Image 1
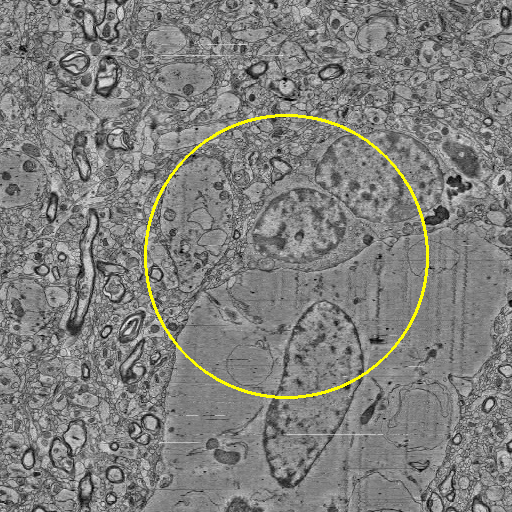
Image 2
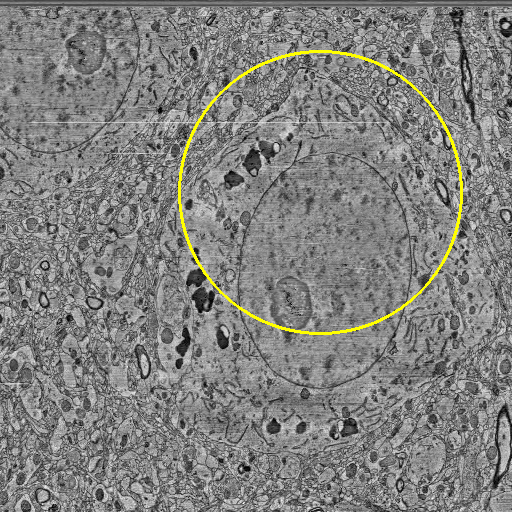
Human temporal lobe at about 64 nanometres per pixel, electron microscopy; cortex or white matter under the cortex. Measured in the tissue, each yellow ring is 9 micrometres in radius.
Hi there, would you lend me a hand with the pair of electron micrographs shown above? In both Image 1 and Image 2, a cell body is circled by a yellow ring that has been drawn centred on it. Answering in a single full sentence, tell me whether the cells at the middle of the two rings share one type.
No, the ringed cells in Image 1 and Image 2 belong to two types.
